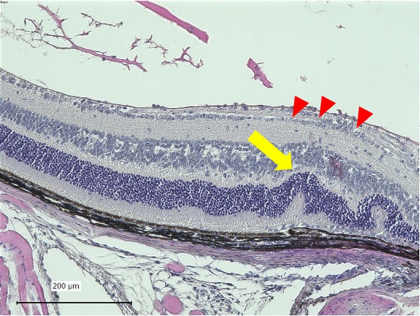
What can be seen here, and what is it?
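A section of the retina shows its stacked layers: a thick band of densely packed dark-blue nuclei (the outer nuclear layer) beside the black pigmented layer, a thinner inner band of nuclei, and a pale pink inner layer toward the vitreous. The outer nuclear layer is buckled into a fold, distorting the layers, and small dark-nucleated inflammatory cells are scattered along the inner retinal surface.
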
